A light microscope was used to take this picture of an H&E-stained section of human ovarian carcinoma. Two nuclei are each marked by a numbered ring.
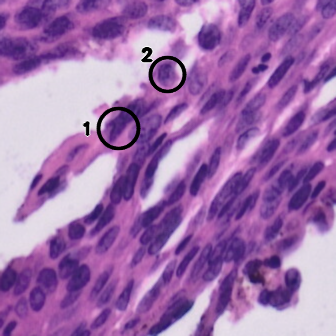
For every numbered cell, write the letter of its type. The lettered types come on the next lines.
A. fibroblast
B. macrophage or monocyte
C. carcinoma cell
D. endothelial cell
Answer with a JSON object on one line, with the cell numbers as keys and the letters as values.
{"1": "C", "2": "B"}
